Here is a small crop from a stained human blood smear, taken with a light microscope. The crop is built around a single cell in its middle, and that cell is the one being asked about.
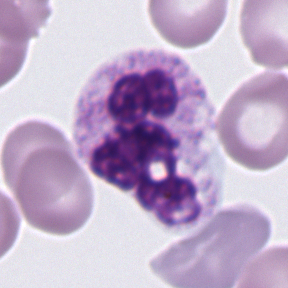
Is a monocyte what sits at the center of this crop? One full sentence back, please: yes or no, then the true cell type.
No, the central cell should be identified as a neutrophil, not as a monocyte.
